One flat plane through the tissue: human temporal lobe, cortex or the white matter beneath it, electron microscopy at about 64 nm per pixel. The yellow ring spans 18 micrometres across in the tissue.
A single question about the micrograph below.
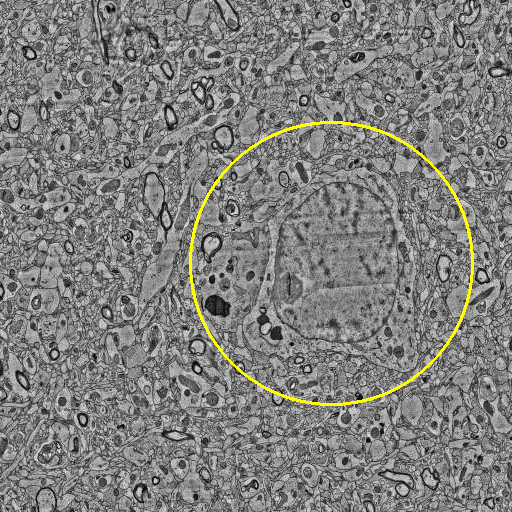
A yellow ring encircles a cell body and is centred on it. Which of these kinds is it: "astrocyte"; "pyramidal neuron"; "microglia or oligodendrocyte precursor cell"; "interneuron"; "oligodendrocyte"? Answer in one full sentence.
The cell body at the centre of the yellow ring belongs to an interneuron.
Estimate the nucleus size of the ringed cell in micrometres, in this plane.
Approximately 10 micrometres long and 8 micrometres wide, in this plane.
